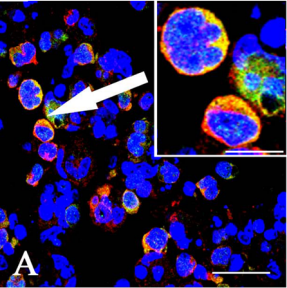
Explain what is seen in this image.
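A subset of rounded cells carries a red rim at the cell periphery with green to yellow signal over the nucleus and cytoplasm. The inset enlarges such cells, showing a bright red-yellow ring around a round blue nucleus. Other nuclei are small, dense and unlabelled.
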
